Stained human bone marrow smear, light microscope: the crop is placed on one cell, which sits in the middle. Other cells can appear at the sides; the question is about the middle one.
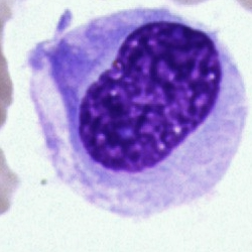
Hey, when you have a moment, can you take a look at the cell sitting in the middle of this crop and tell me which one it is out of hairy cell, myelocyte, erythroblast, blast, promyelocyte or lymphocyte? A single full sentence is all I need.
The cell of interest, in the center, is a hairy cell.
